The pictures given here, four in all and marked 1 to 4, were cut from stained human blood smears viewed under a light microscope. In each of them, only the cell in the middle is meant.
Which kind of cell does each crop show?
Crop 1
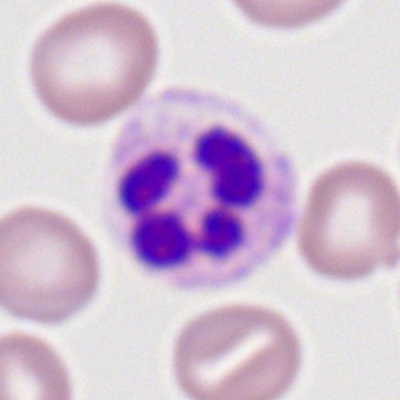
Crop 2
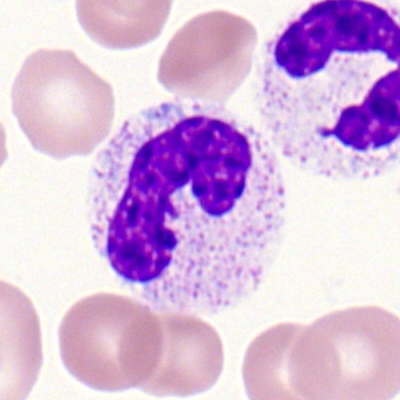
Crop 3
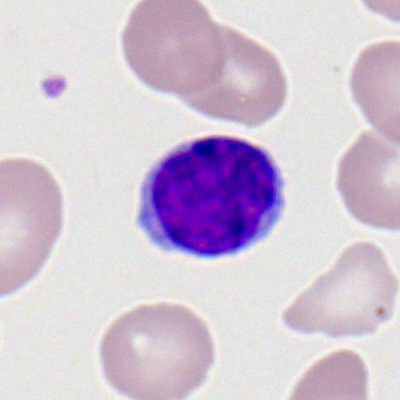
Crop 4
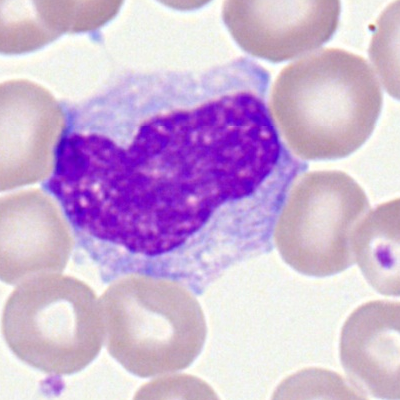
1: segmented neutrophil
2: band neutrophil
3: lymphocyte
4: monocyte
